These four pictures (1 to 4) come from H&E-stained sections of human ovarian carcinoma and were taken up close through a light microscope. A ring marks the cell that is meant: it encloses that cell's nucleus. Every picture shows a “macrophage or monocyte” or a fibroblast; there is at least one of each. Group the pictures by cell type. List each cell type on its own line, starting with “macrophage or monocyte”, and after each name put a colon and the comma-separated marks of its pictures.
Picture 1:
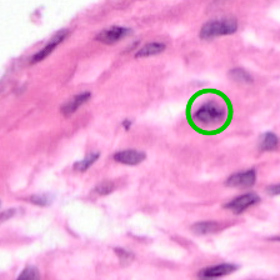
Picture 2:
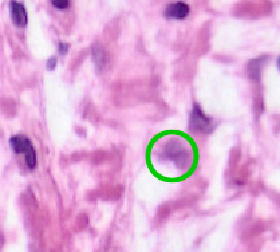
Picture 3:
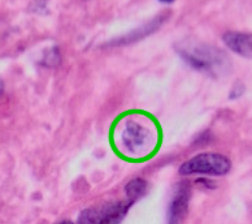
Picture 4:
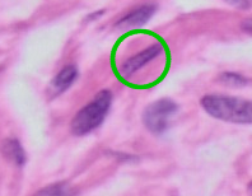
macrophage or monocyte: 3
fibroblast: 1, 2, 4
